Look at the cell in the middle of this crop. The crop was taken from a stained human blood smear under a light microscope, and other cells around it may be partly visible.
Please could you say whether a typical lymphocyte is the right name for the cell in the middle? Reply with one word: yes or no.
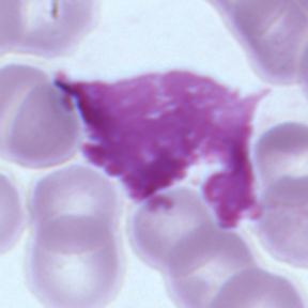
no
